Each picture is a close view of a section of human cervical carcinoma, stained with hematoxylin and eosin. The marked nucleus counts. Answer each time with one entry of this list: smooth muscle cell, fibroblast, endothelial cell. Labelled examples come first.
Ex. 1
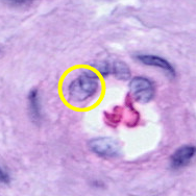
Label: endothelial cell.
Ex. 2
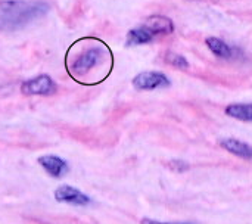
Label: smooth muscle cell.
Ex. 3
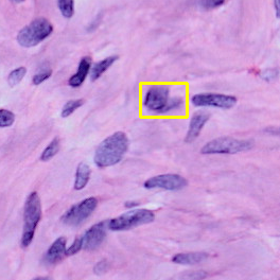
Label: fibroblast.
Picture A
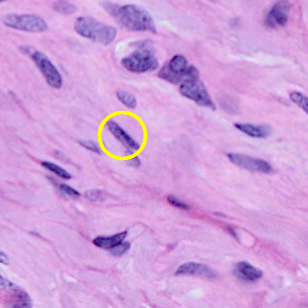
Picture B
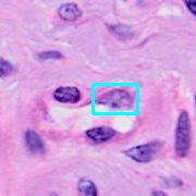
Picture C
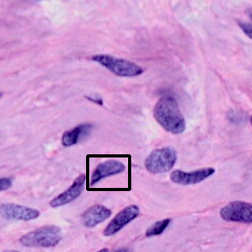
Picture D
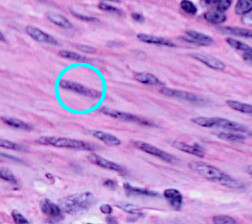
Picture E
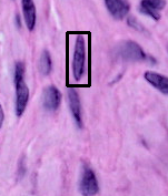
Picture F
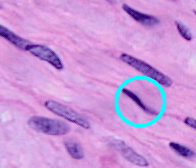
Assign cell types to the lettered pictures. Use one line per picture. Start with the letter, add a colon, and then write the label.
A: fibroblast.
B: endothelial cell.
C: fibroblast.
D: smooth muscle cell.
E: fibroblast.
F: fibroblast.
